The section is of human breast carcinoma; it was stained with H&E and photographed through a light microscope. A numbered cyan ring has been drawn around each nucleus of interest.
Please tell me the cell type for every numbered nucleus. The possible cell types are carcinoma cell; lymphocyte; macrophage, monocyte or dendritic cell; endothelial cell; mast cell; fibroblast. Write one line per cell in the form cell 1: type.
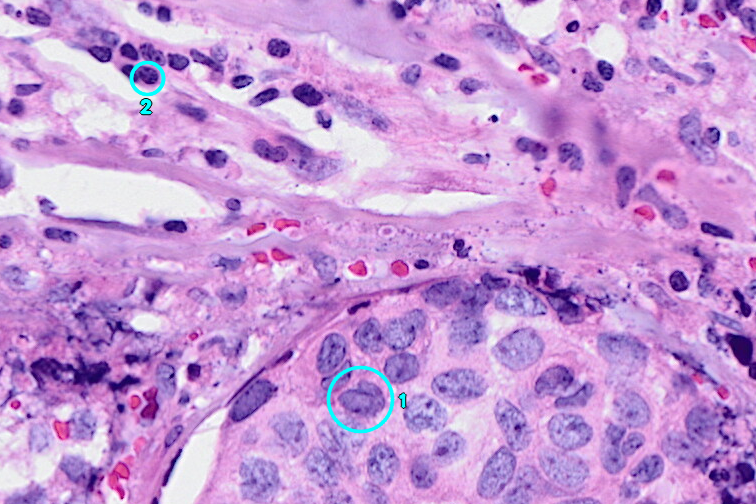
cell 1: carcinoma cell
cell 2: lymphocyte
